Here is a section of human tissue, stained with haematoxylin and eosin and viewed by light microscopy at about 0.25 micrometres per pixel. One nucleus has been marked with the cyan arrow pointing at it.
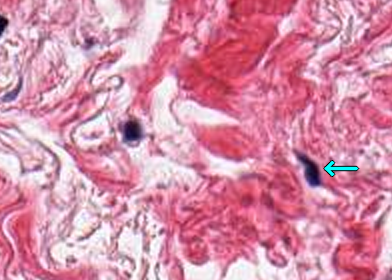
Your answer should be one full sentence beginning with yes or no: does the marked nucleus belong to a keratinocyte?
No, the nucleus that is marked belongs to a supporting cell rather than to a keratinocyte.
